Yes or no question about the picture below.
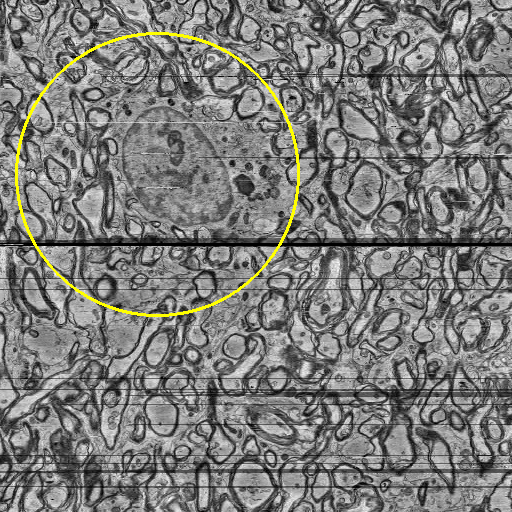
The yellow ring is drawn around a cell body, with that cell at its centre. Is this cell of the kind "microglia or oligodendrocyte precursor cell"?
no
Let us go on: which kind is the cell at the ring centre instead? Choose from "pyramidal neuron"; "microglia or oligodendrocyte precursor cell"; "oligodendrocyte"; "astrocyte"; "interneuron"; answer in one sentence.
It is an oligodendrocyte that the ring is centred on.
